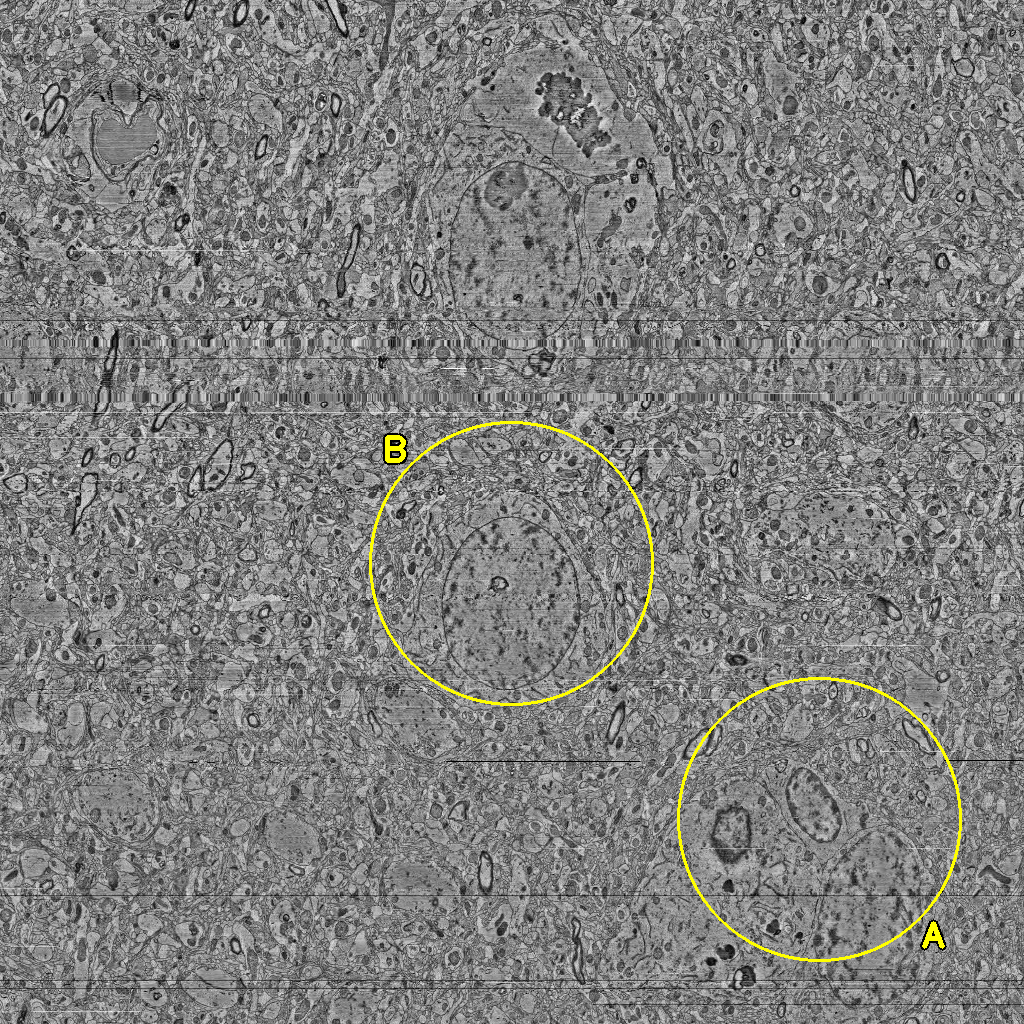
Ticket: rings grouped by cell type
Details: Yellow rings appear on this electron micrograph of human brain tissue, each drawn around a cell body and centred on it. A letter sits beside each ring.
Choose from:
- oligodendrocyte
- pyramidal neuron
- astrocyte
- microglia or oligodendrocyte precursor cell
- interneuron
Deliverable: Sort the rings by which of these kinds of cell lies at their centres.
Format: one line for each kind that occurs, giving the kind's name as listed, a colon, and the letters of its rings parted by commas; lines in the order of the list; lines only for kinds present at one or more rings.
pyramidal neuron: B
microglia or oligodendrocyte precursor cell: A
